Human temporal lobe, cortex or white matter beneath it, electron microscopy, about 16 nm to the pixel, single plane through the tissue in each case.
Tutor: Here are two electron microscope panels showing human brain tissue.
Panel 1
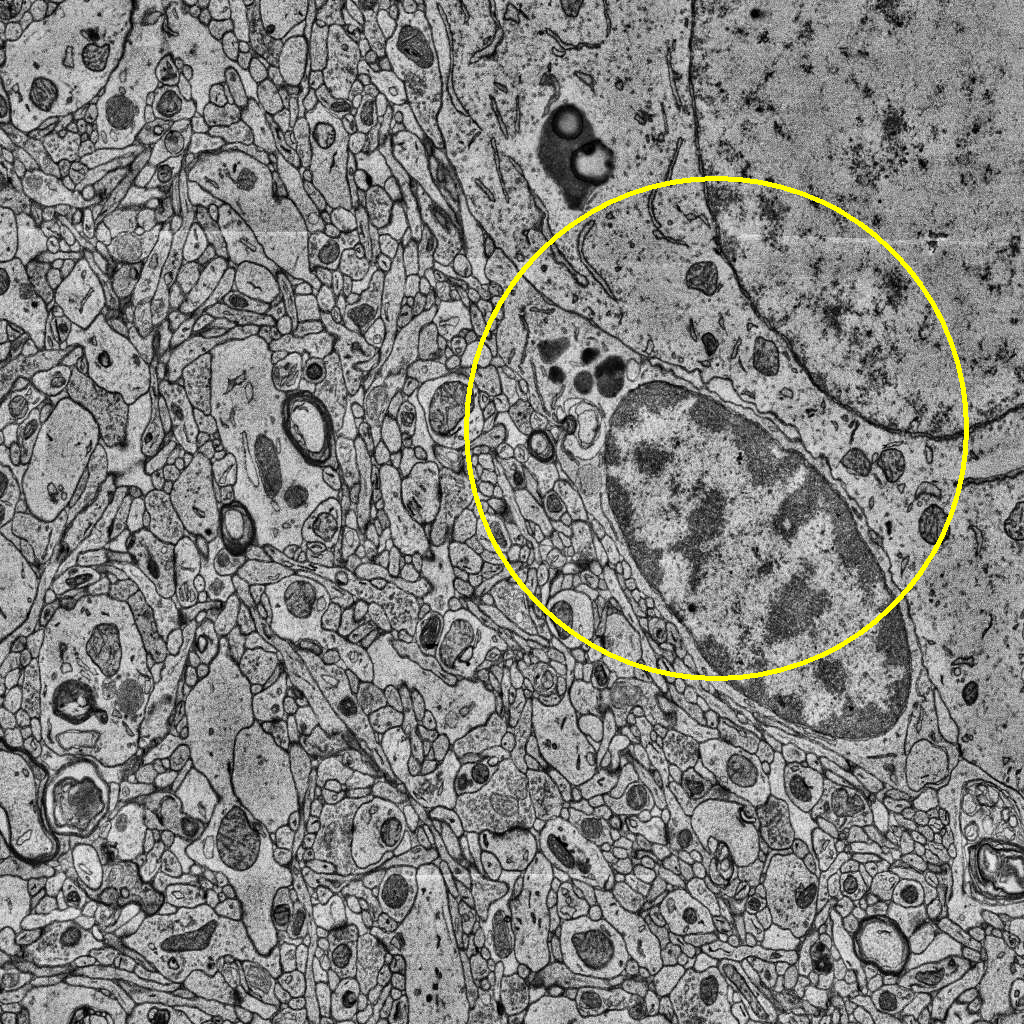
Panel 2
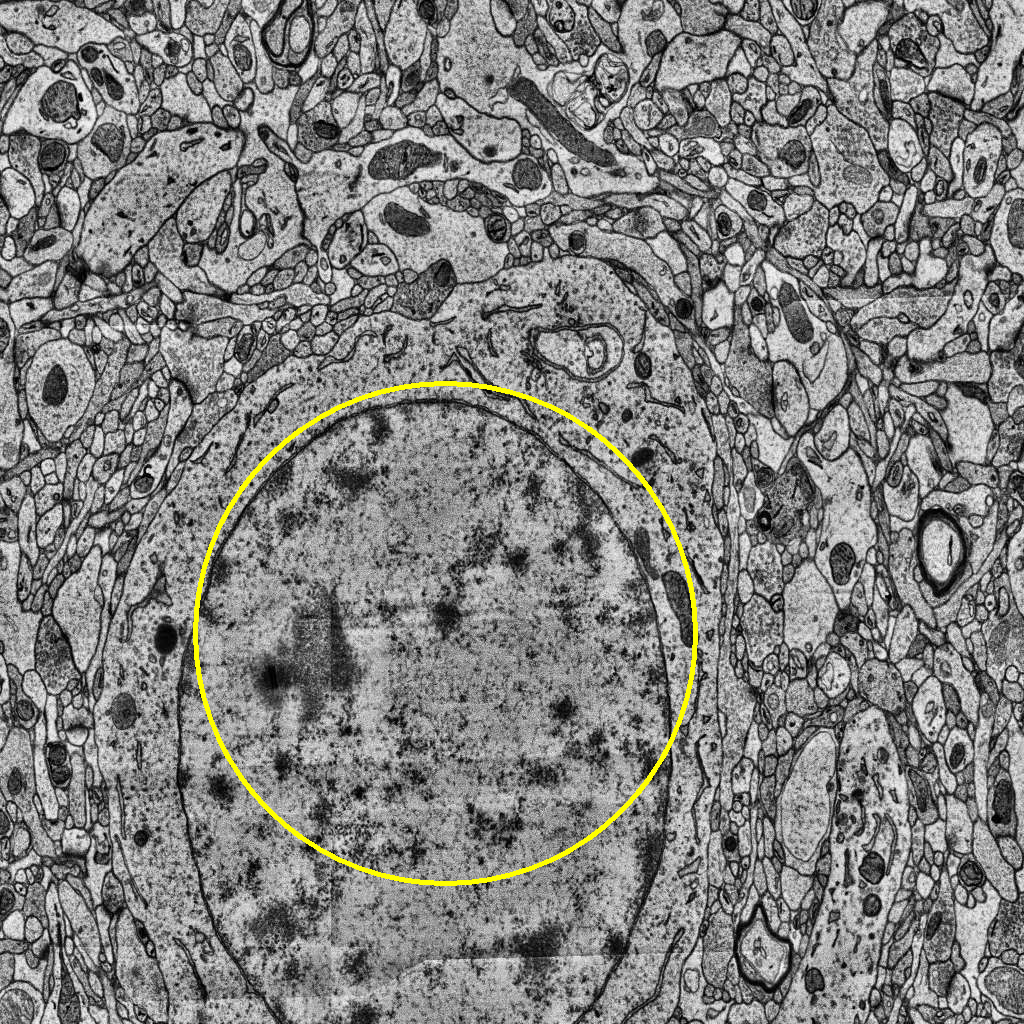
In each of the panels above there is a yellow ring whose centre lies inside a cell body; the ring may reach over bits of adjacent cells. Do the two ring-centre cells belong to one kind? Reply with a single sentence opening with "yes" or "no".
No, the two cells lying at the ring centres in the panels belong to two kinds.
